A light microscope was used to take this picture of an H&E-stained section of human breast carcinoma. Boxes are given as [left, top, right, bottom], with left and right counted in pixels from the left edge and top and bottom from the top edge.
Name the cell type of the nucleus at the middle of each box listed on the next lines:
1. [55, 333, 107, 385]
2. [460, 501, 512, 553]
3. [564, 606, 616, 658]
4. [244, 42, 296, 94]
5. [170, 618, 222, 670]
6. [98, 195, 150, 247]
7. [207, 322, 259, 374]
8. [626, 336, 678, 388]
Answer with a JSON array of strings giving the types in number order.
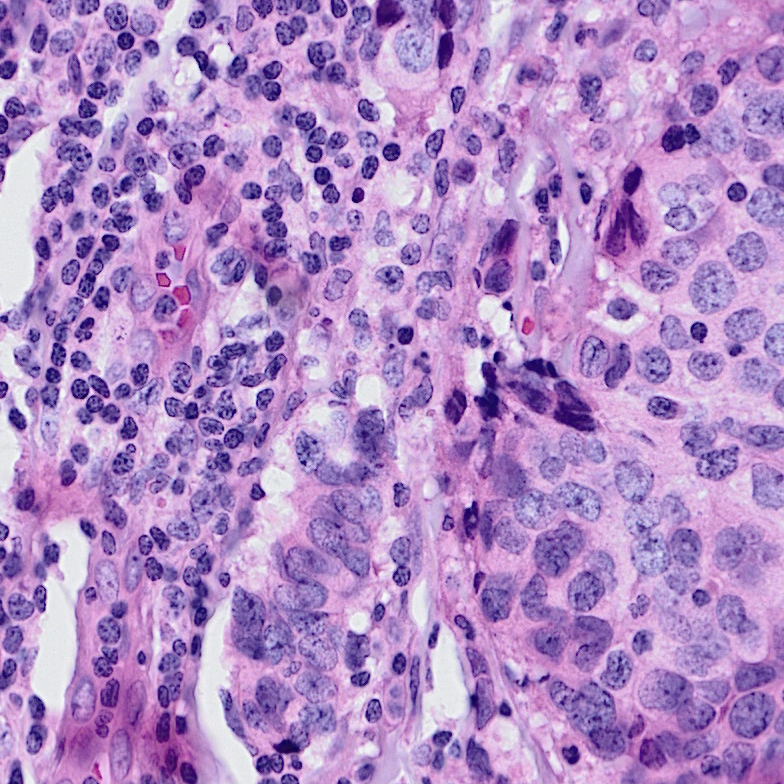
["lymphocyte", "carcinoma cell", "carcinoma cell", "lymphocyte", "lymphocyte", "lymphocyte", "lymphocyte", "carcinoma cell"]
